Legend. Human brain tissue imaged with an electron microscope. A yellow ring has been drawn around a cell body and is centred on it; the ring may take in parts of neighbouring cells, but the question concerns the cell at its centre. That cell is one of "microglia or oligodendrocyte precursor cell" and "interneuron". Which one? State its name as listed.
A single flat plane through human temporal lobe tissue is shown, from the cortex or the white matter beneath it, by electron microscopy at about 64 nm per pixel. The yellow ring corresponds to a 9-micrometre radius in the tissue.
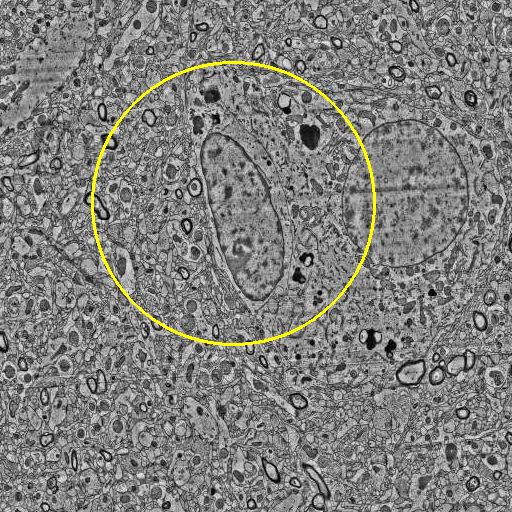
microglia or oligodendrocyte precursor cell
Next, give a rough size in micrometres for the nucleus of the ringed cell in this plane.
In this plane the nucleus is clearly longer than it is wide, at approximately 11 by 4 micrometres.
